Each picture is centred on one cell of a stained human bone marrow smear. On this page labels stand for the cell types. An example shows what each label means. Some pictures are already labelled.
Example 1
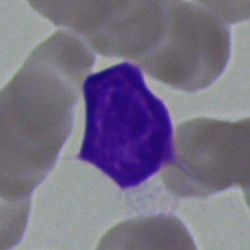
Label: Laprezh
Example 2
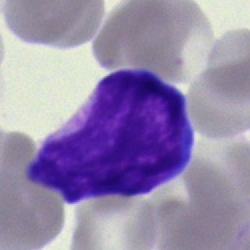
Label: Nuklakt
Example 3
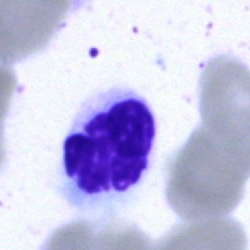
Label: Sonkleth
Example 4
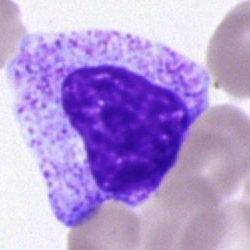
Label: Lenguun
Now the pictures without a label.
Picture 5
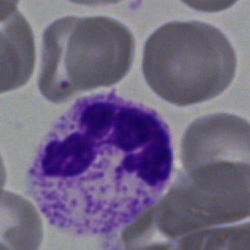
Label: Sonkleth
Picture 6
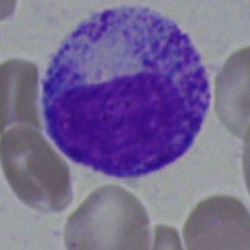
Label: Lenguun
